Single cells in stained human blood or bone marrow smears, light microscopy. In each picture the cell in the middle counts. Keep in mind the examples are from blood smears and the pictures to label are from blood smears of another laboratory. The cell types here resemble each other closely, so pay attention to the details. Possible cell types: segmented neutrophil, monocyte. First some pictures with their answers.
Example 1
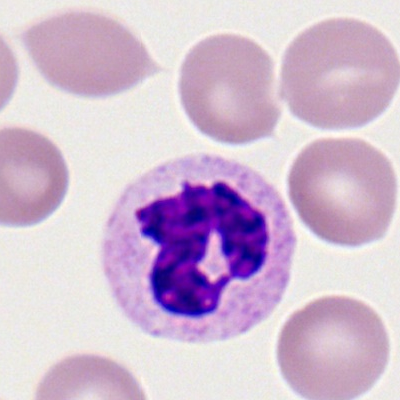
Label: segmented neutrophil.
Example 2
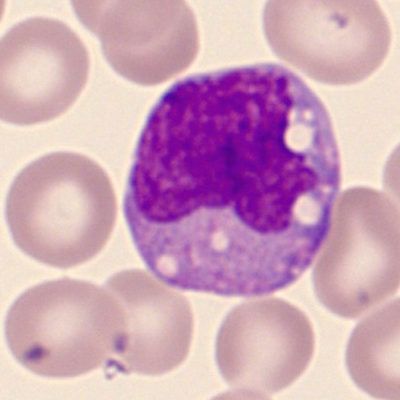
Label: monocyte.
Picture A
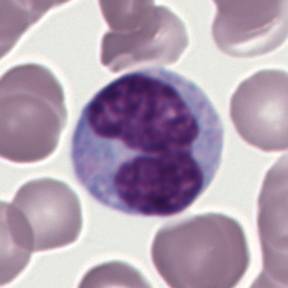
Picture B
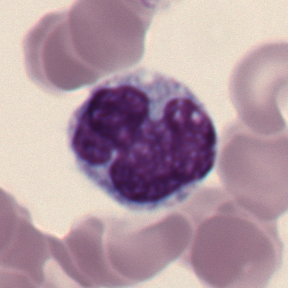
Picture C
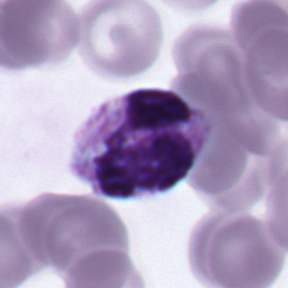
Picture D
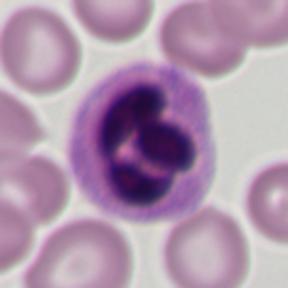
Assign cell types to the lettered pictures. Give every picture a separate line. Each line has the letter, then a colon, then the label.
A: monocyte.
B: monocyte.
C: segmented neutrophil.
D: segmented neutrophil.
